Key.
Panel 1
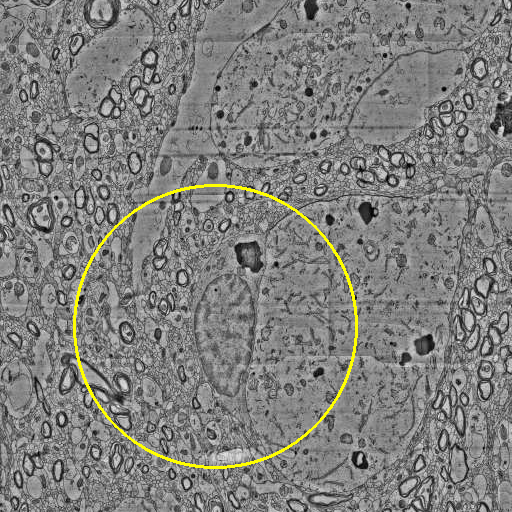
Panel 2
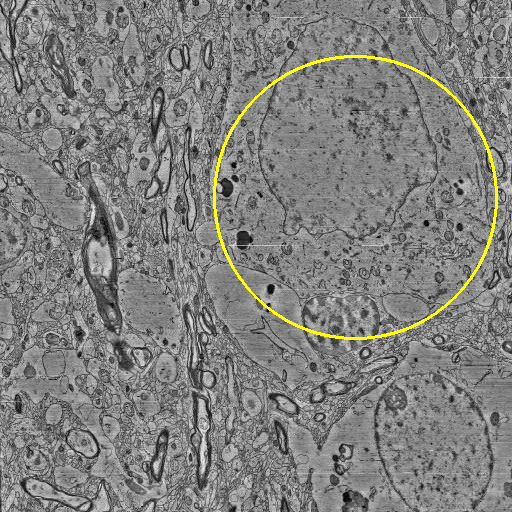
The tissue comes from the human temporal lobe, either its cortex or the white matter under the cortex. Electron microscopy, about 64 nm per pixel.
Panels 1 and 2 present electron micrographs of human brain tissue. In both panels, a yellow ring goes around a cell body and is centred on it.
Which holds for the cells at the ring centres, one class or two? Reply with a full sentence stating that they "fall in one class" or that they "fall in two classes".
Taken together, the ring-centre cells of the two panels fall in two classes.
